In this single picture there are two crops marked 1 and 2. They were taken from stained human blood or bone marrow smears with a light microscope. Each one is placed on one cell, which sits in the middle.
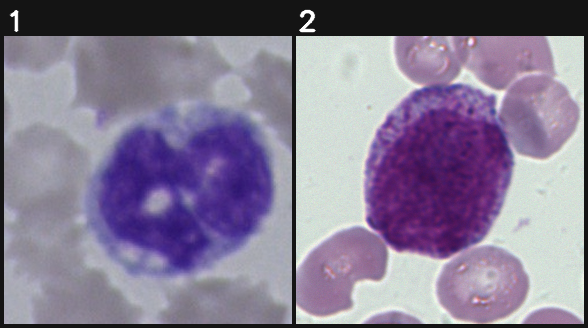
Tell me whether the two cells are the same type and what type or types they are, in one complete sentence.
No, crop 1 is where a monocyte is shown, and crop 2 is where a promyelocyte is shown.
